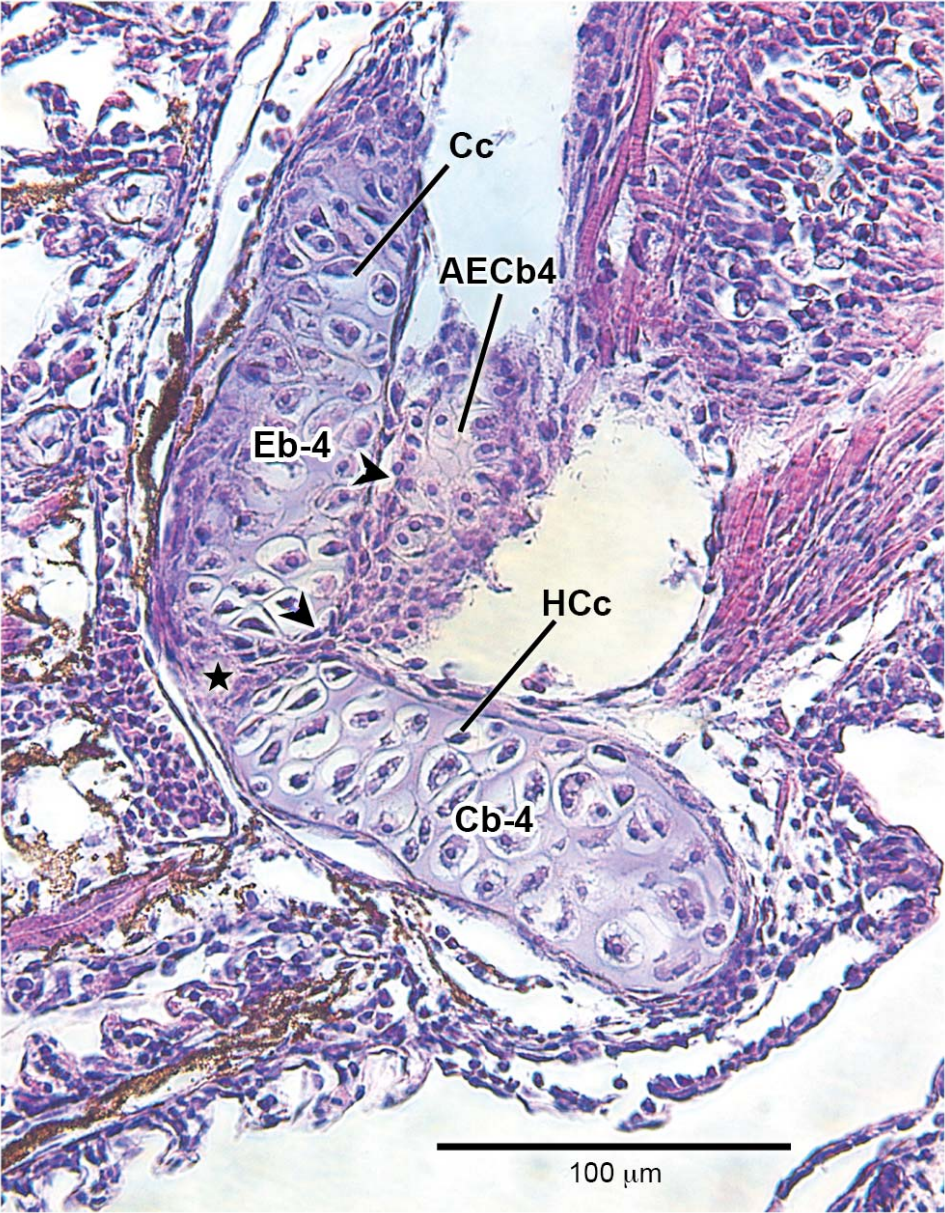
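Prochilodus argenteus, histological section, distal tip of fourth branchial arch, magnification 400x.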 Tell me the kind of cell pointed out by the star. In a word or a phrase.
Mesenchymal (undifferentiated) cells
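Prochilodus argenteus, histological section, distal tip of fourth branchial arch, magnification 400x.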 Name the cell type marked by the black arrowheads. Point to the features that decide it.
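The arrowheads point to a thin row of flattened cells with elongated nuclei at the edge of a cartilage element. These cells lie between the rounded cartilage cells in lacunae and the surrounding loose tissue.
Conclusion: chondroblast layer (flatten cells)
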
